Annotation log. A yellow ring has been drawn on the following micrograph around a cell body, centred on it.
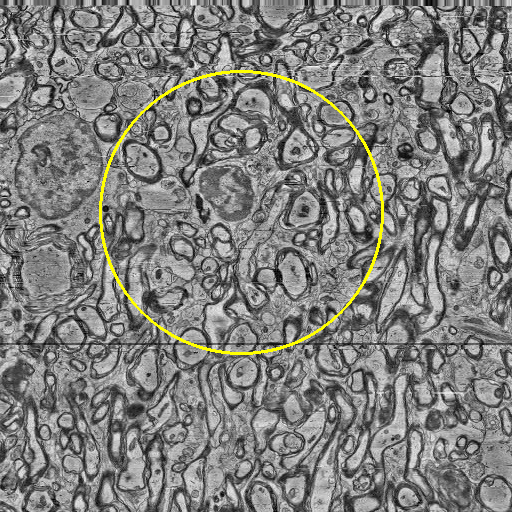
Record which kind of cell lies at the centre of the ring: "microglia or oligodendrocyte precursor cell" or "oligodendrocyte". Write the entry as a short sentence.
The cell the ring is centred on is a microglial cell or oligodendrocyte precursor cell.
